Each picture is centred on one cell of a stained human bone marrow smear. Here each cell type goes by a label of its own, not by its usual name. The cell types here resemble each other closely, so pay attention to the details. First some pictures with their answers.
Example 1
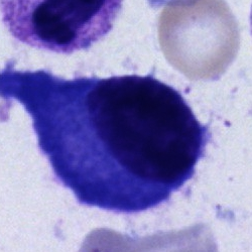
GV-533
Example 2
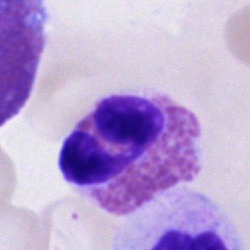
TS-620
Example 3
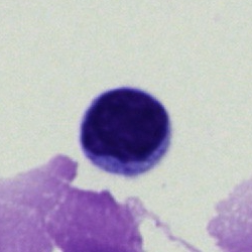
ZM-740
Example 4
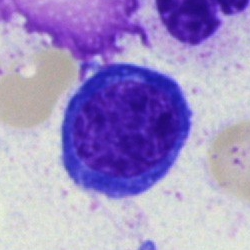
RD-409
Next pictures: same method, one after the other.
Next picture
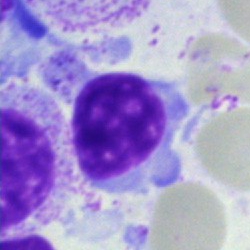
ZM-740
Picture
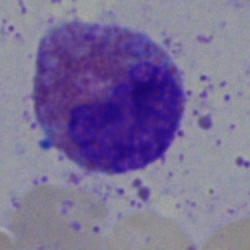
TS-620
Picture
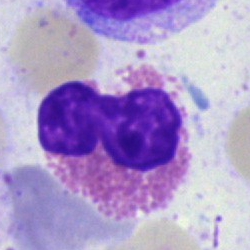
TS-620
